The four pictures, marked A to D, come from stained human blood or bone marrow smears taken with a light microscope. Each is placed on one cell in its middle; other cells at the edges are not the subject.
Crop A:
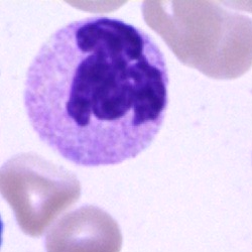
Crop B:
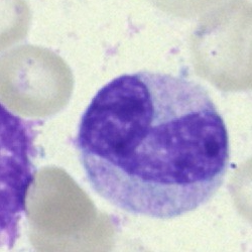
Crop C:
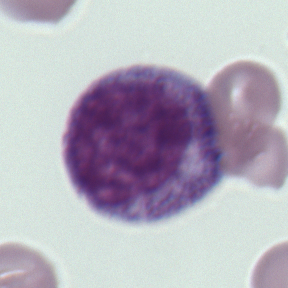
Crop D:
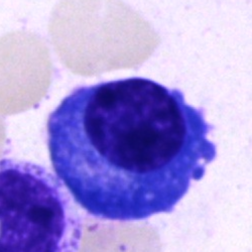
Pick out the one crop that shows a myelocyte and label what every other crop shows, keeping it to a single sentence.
Crop C shows a myelocyte, while in contrast crop A is a segmented neutrophil, crop B is a monocyte and crop D is a plasma cell.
